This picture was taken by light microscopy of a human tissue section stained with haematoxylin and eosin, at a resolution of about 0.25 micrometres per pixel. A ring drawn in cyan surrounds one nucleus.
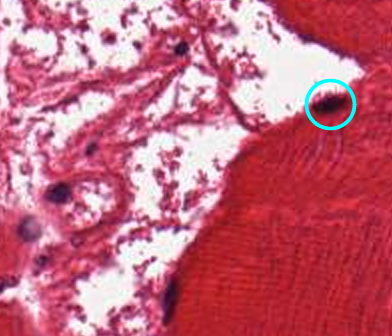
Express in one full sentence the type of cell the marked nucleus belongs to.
The nucleus marked in this picture belongs to a skeletal muscle fibre.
